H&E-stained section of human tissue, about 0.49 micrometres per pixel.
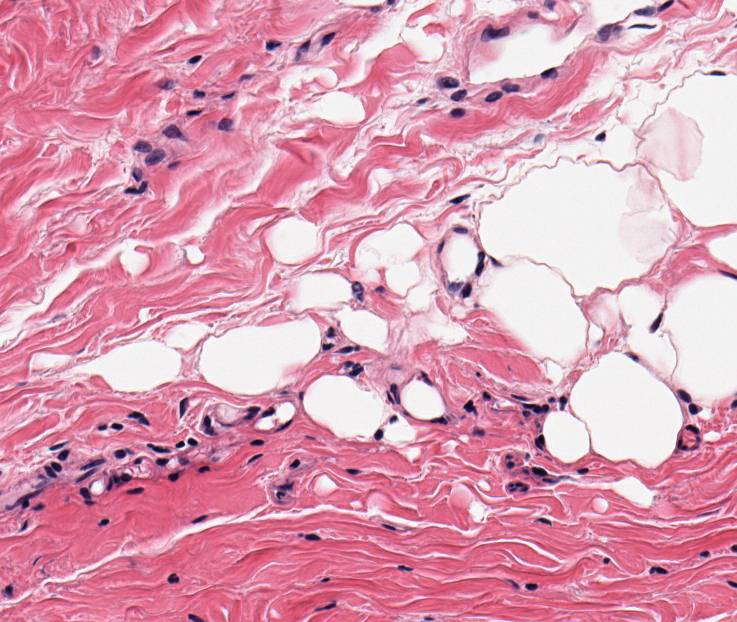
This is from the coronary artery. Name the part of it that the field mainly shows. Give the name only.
tunica adventitia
